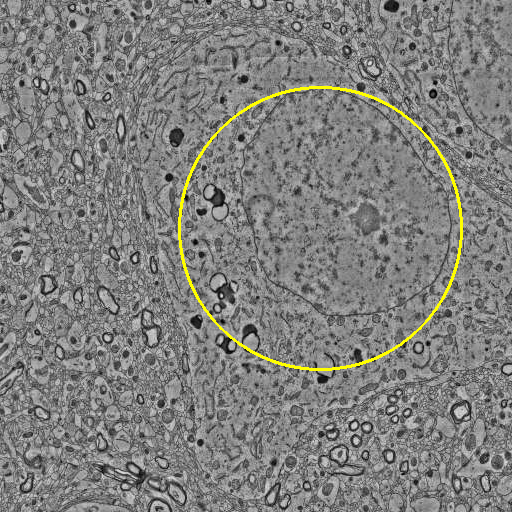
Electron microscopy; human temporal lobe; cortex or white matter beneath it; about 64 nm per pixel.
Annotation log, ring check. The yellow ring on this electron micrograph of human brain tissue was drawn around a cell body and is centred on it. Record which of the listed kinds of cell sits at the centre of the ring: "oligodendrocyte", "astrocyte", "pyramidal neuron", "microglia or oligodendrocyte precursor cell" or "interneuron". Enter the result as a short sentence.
The cell at the centre of the ring is a pyramidal neuron.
